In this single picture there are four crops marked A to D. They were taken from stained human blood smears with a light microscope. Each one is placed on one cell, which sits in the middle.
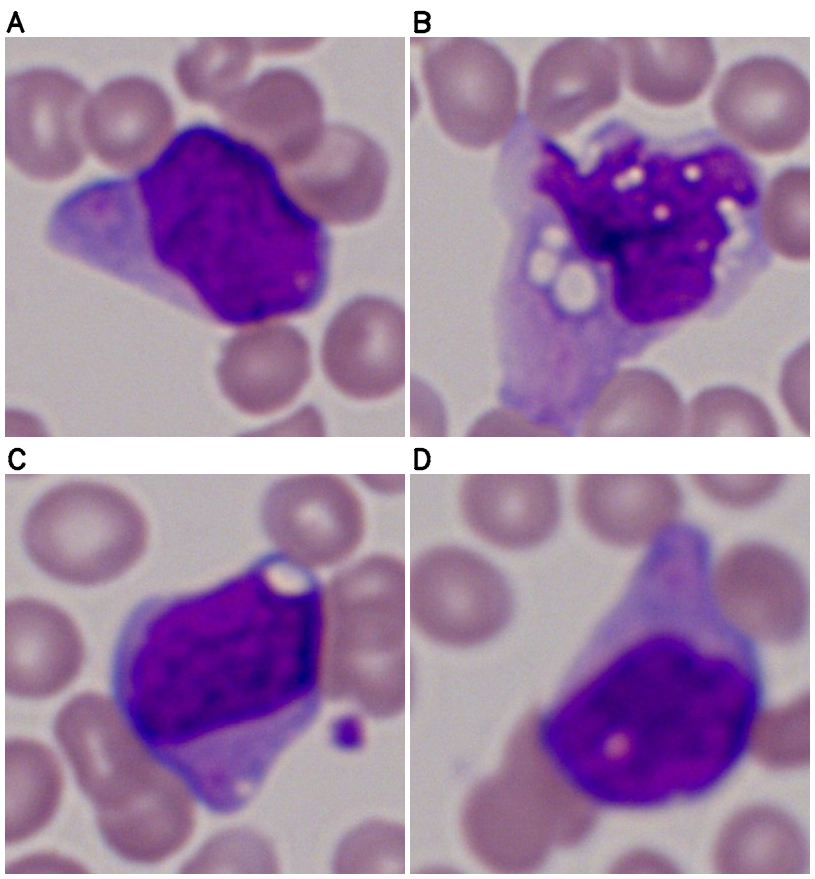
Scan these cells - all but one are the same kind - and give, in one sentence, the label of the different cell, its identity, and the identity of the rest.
Unlike the rest, which all show myeloblasts, crop B contains a monocyte.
